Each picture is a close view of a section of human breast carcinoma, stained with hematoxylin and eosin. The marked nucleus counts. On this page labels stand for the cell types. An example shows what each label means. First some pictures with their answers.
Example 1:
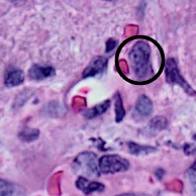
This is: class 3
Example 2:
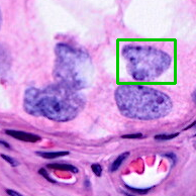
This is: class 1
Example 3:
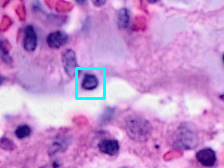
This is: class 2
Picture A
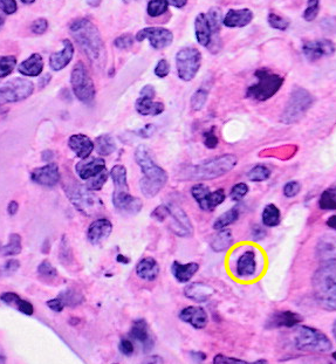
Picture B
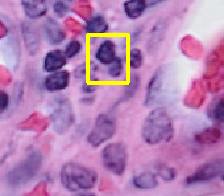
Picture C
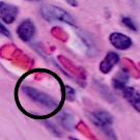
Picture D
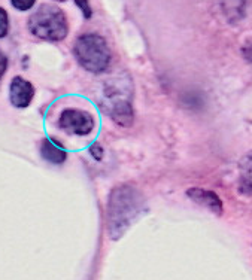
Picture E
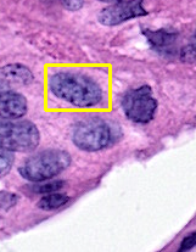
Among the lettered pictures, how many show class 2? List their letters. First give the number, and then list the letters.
3, namely A, B, D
